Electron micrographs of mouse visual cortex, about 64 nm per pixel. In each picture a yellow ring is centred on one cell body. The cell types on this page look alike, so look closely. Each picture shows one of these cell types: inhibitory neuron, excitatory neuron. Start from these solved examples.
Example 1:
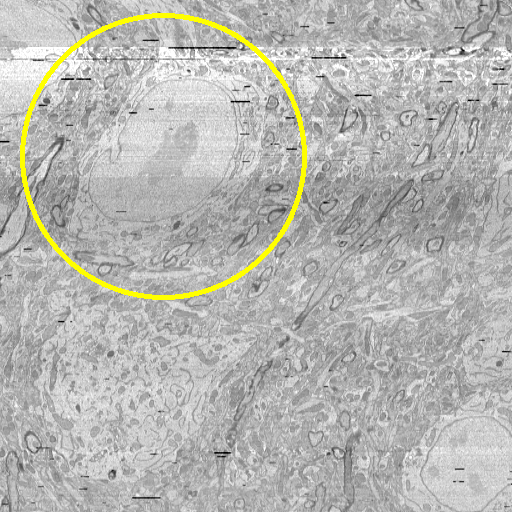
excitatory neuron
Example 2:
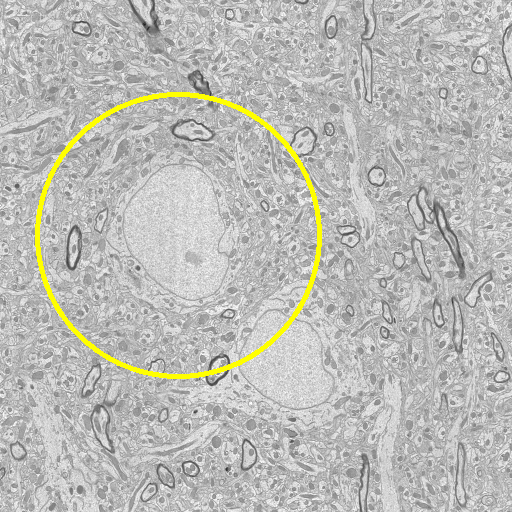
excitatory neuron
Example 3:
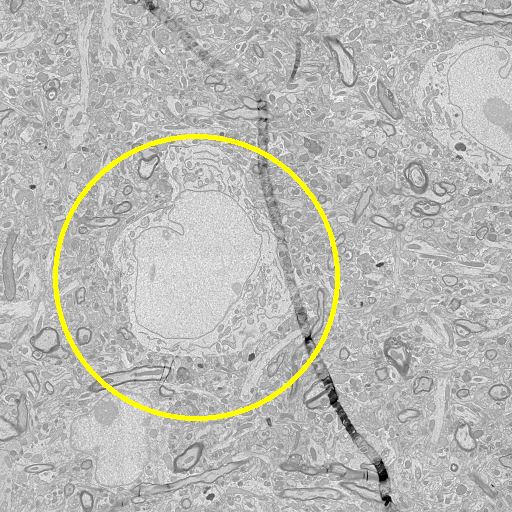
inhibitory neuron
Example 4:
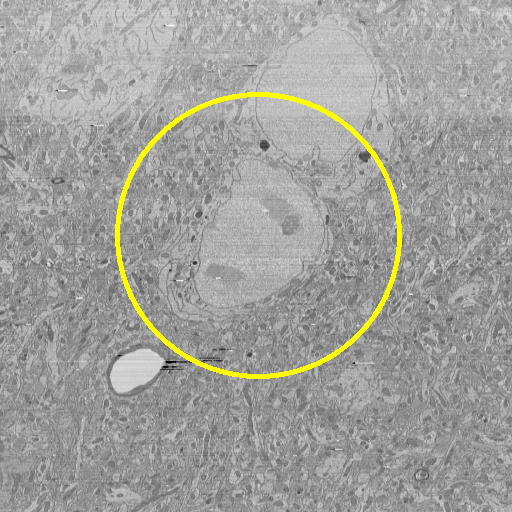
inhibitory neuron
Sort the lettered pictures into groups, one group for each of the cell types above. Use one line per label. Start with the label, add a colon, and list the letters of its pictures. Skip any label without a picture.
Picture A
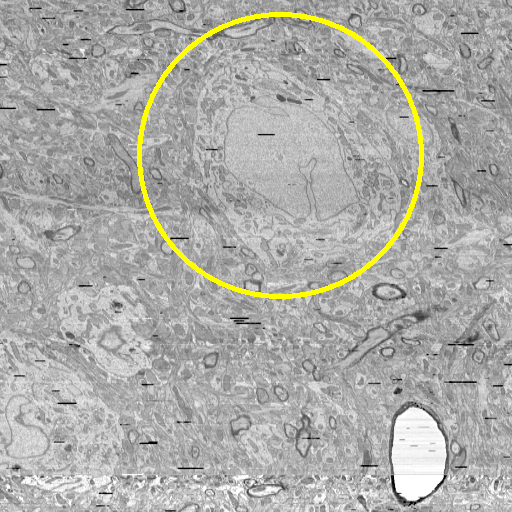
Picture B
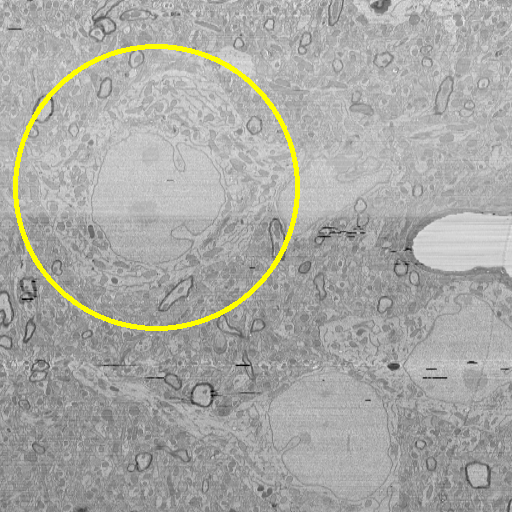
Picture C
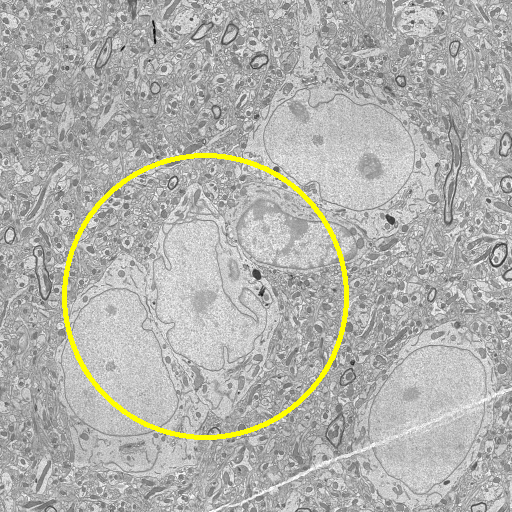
inhibitory neuron: A, B, C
